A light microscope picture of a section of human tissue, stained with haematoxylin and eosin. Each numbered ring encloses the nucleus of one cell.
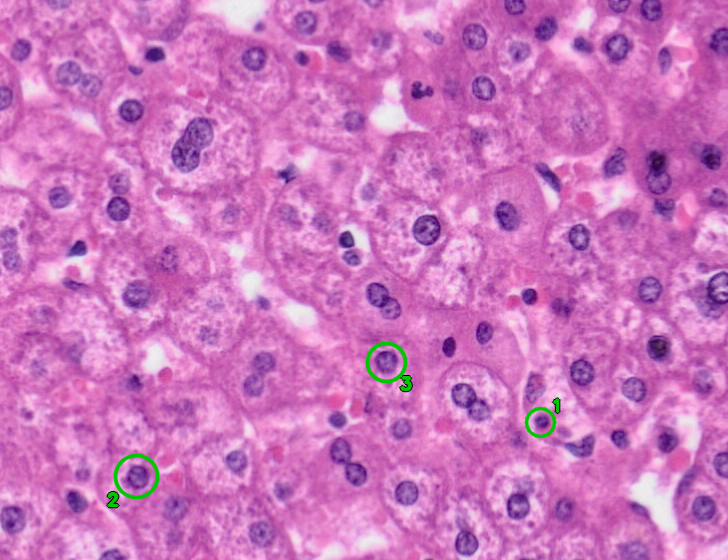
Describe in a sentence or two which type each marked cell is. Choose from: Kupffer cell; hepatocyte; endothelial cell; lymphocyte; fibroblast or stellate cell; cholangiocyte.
Cell 1 is a lymphocyte, cell 2 is a hepatocyte and cell 3 is a hepatocyte.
